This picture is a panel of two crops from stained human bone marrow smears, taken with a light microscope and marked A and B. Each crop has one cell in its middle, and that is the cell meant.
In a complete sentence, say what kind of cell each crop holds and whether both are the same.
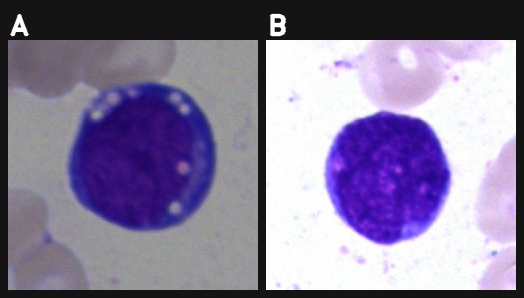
Yes, put down blasts for both crops.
